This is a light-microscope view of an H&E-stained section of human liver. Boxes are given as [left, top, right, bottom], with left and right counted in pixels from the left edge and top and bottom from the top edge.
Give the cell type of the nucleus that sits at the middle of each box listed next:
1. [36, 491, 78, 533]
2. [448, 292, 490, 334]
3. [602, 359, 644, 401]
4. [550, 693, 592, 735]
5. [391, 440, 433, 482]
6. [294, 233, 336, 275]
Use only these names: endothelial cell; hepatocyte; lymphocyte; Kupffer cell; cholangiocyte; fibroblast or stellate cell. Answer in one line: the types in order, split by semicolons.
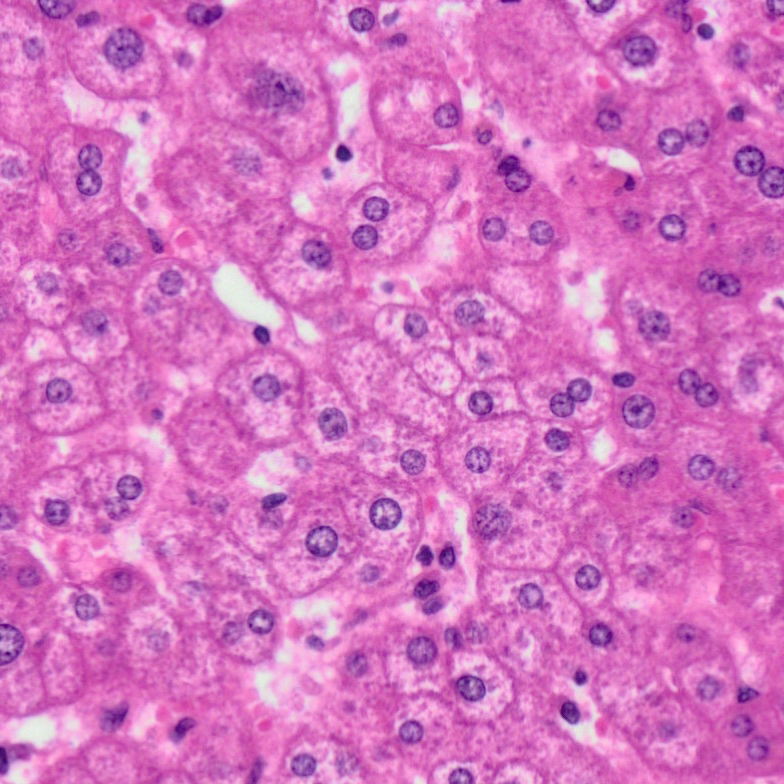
hepatocyte; hepatocyte; fibroblast or stellate cell; Kupffer cell; hepatocyte; hepatocyte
